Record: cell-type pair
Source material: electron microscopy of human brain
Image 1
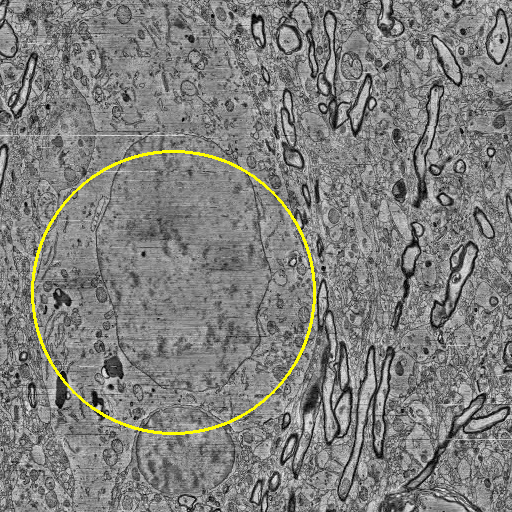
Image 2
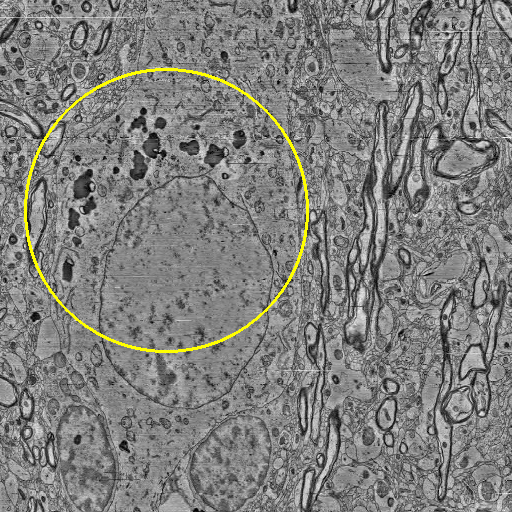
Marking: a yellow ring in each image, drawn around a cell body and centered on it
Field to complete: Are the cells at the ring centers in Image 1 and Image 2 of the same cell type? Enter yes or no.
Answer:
yes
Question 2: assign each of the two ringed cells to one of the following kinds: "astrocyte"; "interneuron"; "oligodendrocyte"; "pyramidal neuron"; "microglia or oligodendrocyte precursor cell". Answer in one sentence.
The cell at the ring centre is a pyramidal neuron in both pictures.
